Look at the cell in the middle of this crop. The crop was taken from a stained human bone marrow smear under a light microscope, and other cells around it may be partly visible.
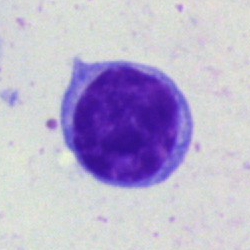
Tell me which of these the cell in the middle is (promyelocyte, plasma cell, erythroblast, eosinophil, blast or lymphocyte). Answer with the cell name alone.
lymphocyte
